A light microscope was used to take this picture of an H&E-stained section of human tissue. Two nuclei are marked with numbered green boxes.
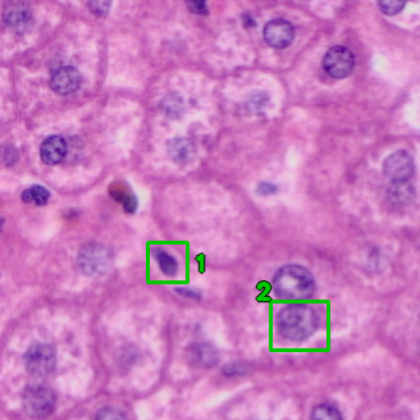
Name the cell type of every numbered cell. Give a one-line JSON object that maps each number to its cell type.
{"1": "lymphocyte", "2": "hepatocyte"}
